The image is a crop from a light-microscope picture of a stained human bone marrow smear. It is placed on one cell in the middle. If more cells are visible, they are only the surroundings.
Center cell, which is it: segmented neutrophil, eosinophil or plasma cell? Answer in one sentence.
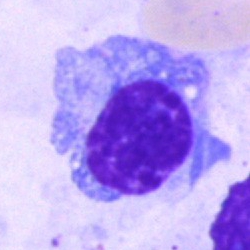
This crop's central cell is a plasma cell.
